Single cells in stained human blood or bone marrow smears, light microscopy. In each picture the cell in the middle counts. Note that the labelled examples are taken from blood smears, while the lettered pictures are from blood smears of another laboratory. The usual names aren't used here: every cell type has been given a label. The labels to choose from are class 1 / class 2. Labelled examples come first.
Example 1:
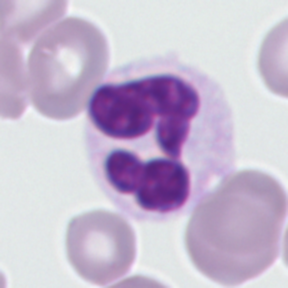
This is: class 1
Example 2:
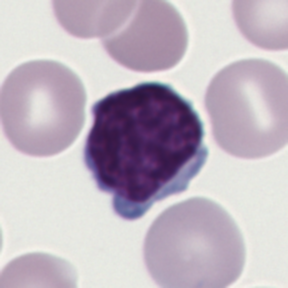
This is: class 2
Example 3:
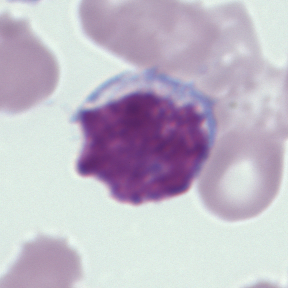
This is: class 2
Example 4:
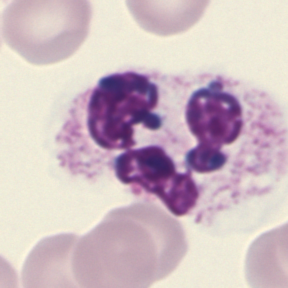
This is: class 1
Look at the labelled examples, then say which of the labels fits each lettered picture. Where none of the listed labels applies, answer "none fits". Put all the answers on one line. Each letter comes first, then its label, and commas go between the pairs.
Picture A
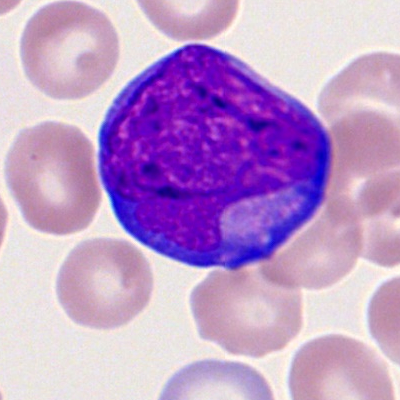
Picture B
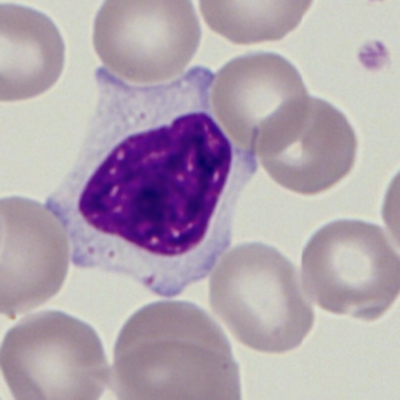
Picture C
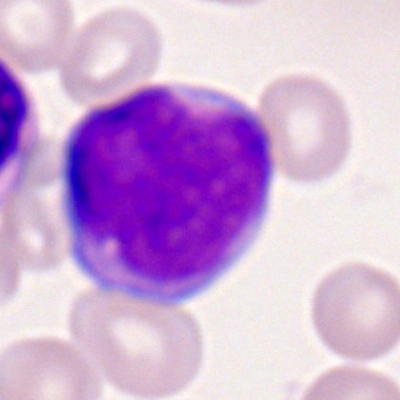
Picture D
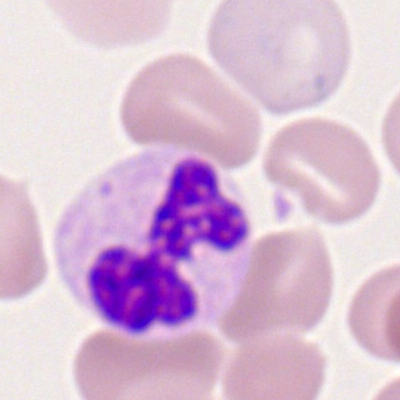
A none fits, B class 2, C none fits, D class 1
